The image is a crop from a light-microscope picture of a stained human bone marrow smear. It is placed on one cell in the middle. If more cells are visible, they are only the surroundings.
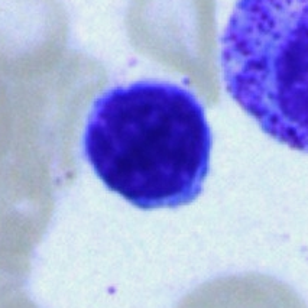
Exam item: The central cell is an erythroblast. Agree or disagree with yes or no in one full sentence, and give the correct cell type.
No, the cell in the middle should be called a lymphocyte instead of an erythroblast.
